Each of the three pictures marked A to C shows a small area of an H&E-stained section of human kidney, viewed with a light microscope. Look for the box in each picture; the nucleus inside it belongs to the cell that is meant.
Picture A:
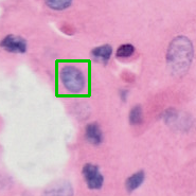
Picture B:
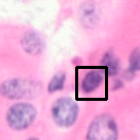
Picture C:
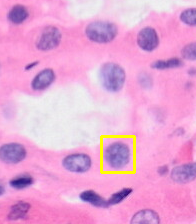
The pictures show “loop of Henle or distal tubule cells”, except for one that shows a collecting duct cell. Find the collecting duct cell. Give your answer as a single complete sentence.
The cell in picture B is the collecting duct cell.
